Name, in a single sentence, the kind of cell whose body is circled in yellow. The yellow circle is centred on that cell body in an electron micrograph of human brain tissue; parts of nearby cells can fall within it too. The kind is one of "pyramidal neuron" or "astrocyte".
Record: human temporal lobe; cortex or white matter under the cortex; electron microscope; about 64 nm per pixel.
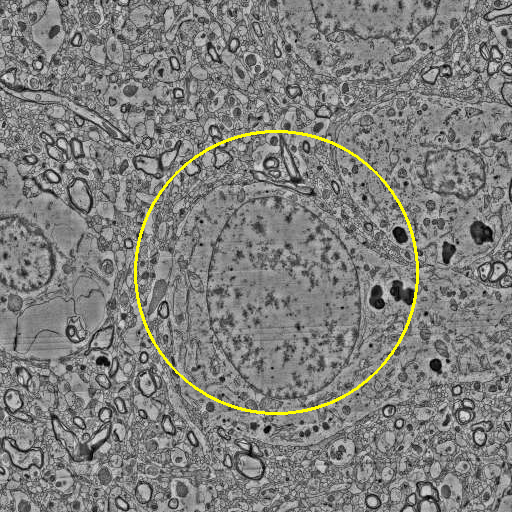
The circled cell body belongs to a pyramidal neuron.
